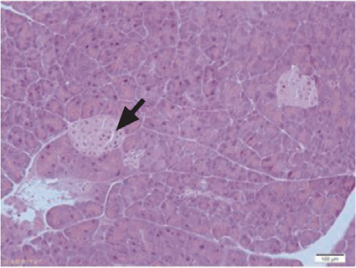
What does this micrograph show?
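This is a section of pancreas in which a rounded, pale pink islet lies embedded in the surrounding glandular tissue. The surrounding tissue is densely packed and stains deep purple, arranged in lobules separated by thin clear strands and a pale blue-grey space at the edges. The islet cells have lighter, paler-staining cytoplasm and scattered small dark nuclei, setting the islet clearly apart from the darker tissue around it. A second smaller pale cluster is visible nearby.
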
